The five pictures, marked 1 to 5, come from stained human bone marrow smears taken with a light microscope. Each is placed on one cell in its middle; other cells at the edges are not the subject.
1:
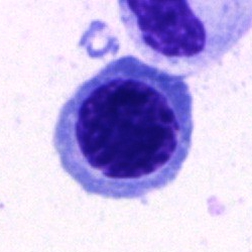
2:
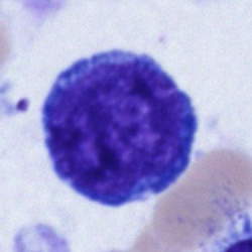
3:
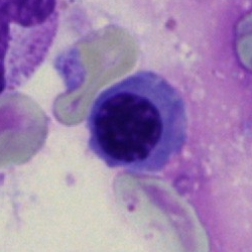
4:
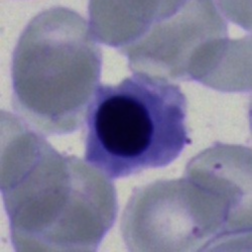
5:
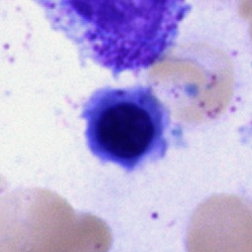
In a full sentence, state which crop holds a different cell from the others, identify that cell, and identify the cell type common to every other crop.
Seen in crop 2 is a blast, and seen in all other crops are erythroblasts.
